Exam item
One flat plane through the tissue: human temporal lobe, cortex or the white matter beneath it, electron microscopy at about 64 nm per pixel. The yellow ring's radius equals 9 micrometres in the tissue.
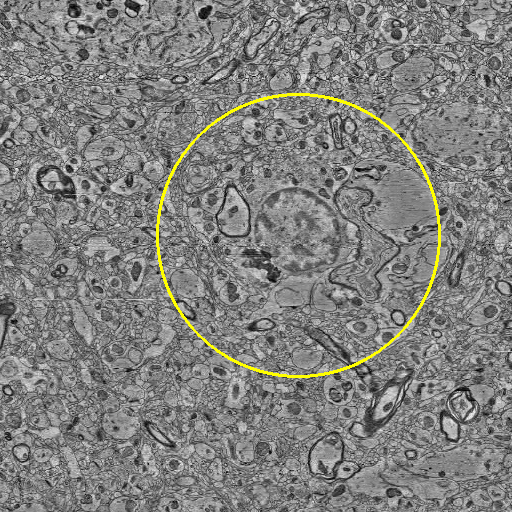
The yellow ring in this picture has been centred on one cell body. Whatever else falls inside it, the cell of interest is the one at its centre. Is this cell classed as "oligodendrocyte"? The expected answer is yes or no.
yes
